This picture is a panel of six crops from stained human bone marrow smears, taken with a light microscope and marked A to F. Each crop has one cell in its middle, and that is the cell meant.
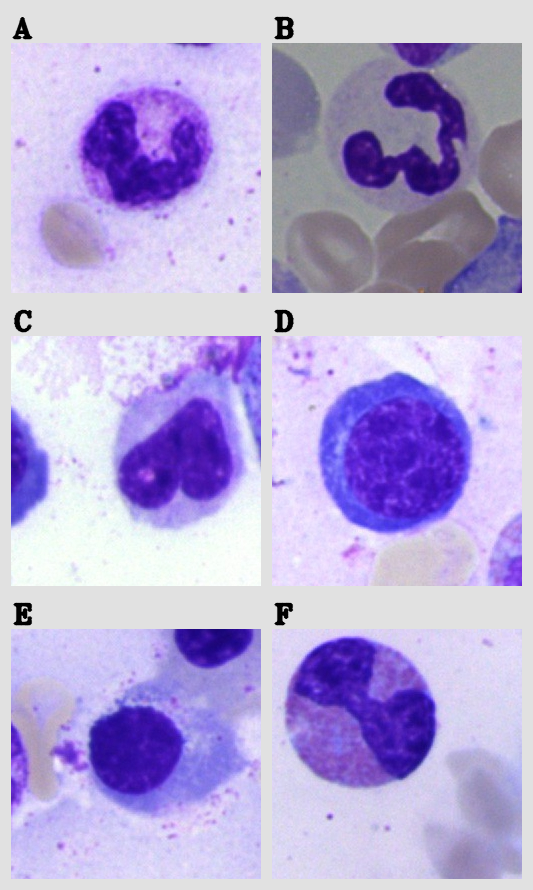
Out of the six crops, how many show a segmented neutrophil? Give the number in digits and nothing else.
2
